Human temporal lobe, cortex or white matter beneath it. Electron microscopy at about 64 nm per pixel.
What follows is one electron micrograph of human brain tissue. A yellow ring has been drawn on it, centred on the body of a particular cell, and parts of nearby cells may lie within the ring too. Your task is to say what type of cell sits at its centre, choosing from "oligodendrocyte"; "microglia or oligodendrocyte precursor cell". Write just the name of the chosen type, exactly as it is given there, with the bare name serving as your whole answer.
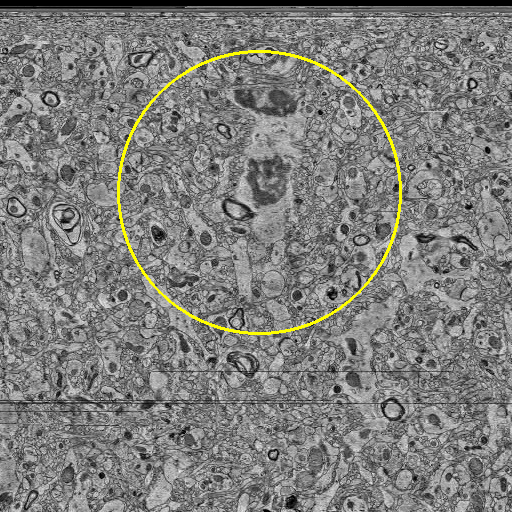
microglia or oligodendrocyte precursor cell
